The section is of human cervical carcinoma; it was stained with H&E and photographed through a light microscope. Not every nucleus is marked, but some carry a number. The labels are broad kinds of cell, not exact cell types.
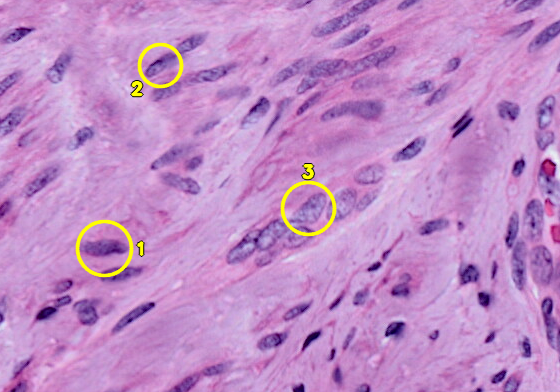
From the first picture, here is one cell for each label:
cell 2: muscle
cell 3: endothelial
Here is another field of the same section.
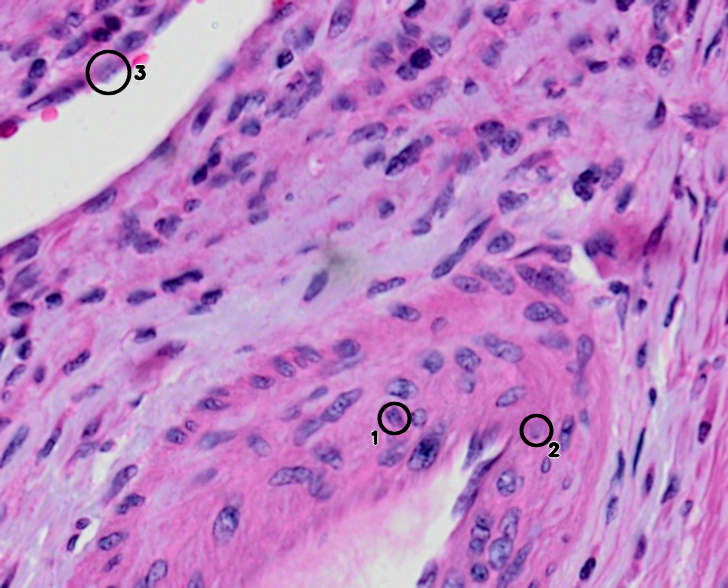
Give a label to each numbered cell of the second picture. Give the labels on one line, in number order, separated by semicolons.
muscle; muscle; endothelial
